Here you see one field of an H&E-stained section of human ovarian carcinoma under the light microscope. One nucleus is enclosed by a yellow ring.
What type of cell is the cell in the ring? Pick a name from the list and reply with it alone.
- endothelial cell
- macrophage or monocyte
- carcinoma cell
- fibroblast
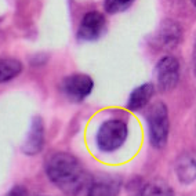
carcinoma cell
